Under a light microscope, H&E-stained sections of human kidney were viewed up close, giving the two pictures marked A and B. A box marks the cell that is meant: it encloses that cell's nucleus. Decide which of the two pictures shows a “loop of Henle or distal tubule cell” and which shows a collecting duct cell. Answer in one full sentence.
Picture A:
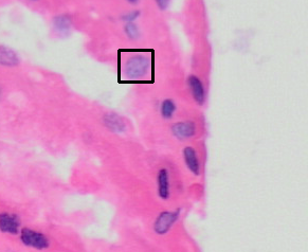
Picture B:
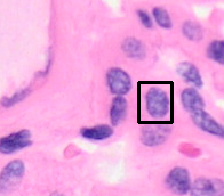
In picture A the cell is a “loop of Henle or distal tubule cell”; in picture B, a collecting duct cell.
